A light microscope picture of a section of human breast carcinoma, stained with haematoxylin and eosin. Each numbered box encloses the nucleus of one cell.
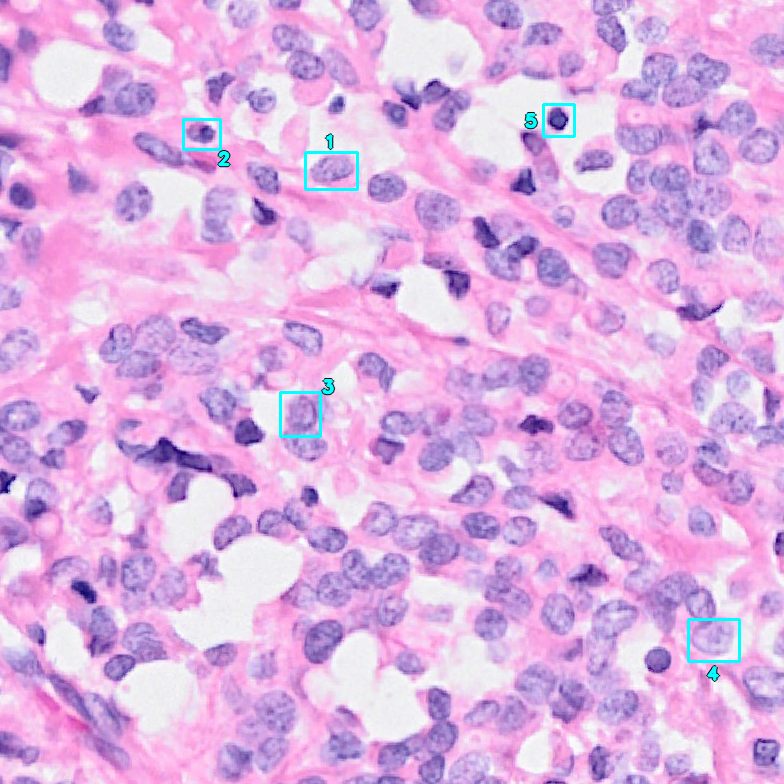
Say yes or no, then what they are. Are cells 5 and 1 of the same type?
No, cell 5 is a lymphocyte and cell 1 is a carcinoma cell.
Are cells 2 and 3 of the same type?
No, cell 2 is a lymphocyte and cell 3 is a carcinoma cell.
